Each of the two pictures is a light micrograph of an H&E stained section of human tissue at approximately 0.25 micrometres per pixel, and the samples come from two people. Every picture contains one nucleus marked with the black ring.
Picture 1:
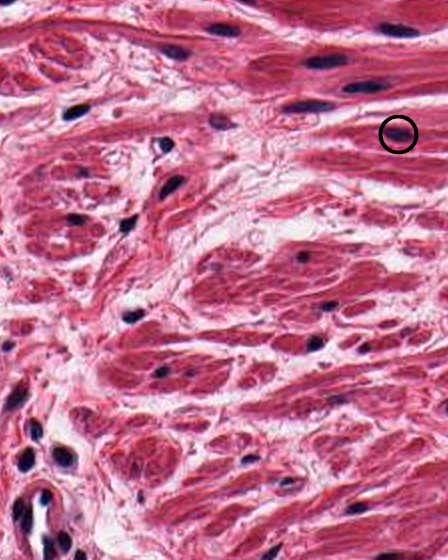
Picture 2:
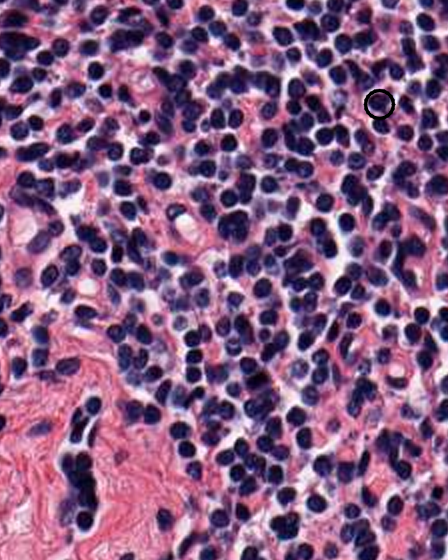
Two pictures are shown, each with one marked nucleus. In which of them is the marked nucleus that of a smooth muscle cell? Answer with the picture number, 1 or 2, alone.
1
